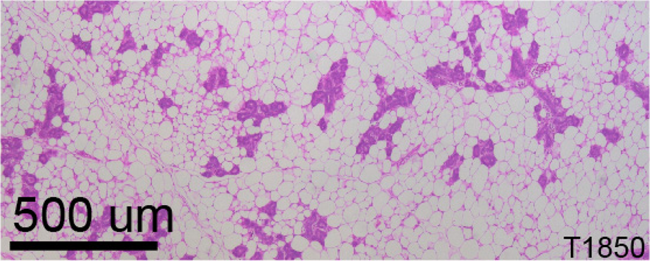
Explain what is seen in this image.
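Most of the section is a mesh of large, pale, empty-looking fat cells bounded by thin pink walls, giving a honeycomb look. Scattered through this fat are small, irregular clusters of densely purple-staining epithelial cells forming little buds and ducts, with a few pink strands of connective tissue. This is mammary gland tissue with epithelial clusters embedded in a fat pad.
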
